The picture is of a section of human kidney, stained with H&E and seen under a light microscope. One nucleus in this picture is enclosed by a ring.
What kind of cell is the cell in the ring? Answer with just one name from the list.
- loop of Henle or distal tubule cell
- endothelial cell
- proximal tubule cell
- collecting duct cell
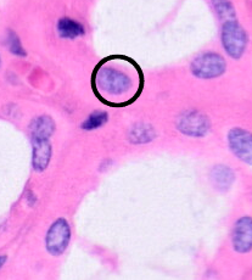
loop of Henle or distal tubule cell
